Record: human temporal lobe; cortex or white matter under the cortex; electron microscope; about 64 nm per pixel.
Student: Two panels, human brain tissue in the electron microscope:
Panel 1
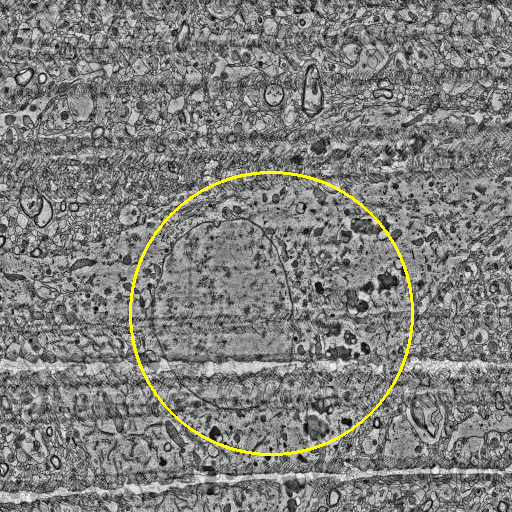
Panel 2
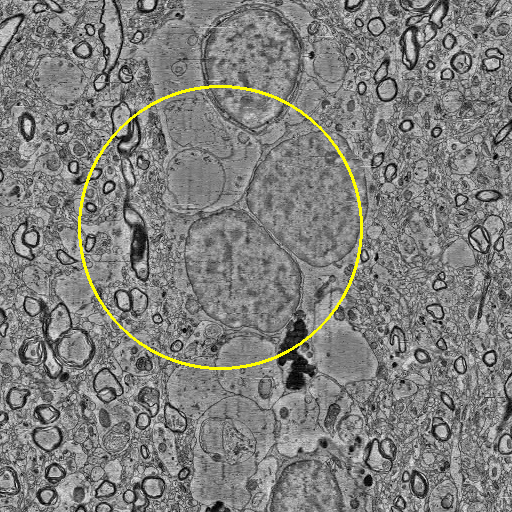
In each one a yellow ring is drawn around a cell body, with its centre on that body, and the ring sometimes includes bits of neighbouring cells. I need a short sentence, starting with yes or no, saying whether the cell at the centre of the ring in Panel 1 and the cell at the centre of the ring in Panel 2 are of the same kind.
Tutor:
No, they are two kinds of cell.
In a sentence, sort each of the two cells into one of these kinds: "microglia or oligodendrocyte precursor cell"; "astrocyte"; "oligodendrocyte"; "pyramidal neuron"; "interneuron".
The first of the two cells is a pyramidal neuron, and the second is an oligodendrocyte.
